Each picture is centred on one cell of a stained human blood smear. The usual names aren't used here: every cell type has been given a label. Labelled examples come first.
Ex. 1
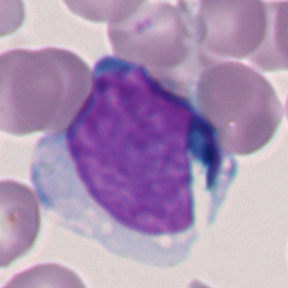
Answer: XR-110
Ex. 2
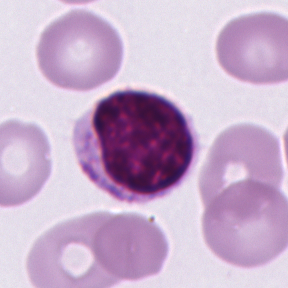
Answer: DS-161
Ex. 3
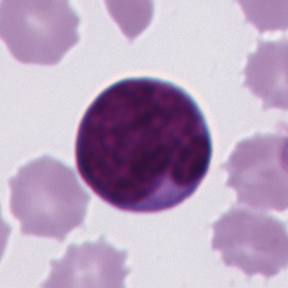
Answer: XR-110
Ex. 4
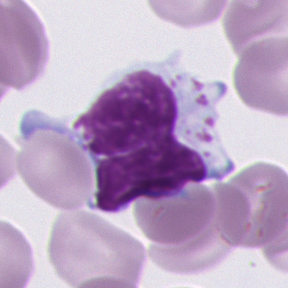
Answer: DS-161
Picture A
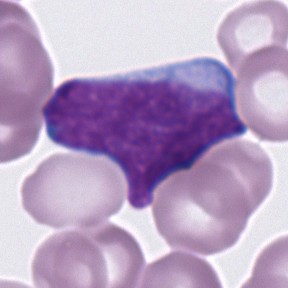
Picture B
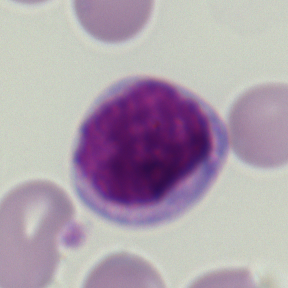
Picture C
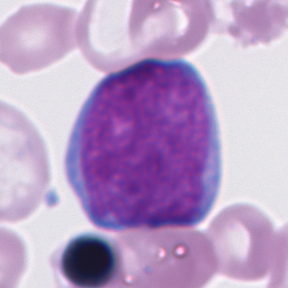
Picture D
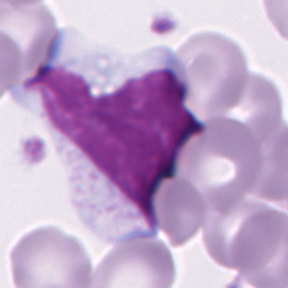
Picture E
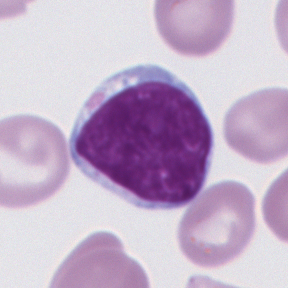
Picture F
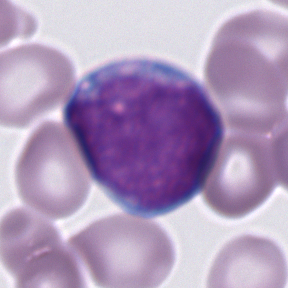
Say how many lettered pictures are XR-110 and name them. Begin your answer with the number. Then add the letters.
3: A, C, F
